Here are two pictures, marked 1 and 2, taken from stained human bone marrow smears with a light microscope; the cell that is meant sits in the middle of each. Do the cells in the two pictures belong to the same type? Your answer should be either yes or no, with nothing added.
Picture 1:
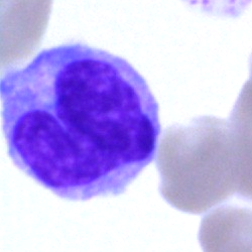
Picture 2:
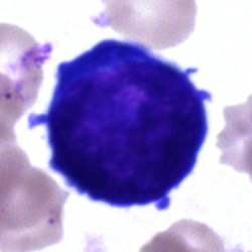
no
